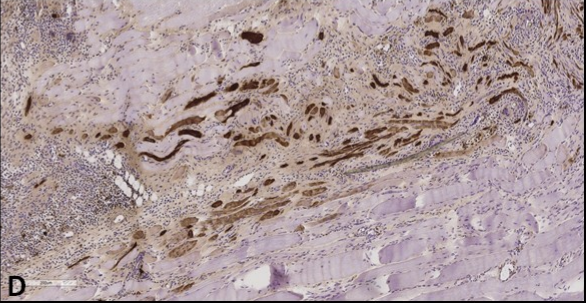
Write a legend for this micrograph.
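The brown fibers are mostly thin, elongated and wavy, with some small round profiles, and lie loosely spread within a tissue rich in small blue nuclei. Below and to the right are larger pale, unstained striated muscle fibers. A densely nucleated region lies at the left edge.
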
